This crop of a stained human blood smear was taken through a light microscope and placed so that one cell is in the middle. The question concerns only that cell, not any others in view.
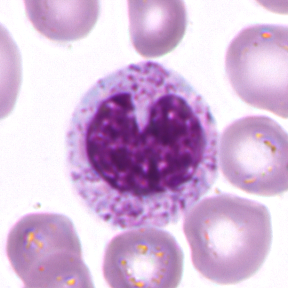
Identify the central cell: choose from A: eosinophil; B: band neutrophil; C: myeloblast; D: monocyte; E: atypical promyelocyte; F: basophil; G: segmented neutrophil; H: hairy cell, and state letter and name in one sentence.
The one cell at the centre is a band neutrophil, as correctly stated in option B.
